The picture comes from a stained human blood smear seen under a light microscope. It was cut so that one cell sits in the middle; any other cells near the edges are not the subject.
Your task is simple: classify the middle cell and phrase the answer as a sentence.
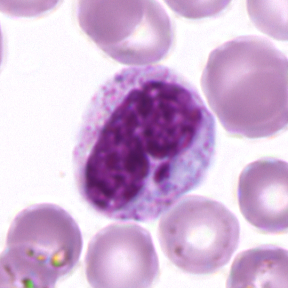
As for the central cell, it is a band neutrophil.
